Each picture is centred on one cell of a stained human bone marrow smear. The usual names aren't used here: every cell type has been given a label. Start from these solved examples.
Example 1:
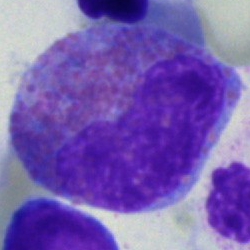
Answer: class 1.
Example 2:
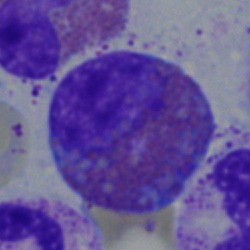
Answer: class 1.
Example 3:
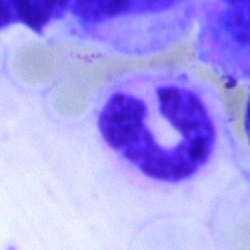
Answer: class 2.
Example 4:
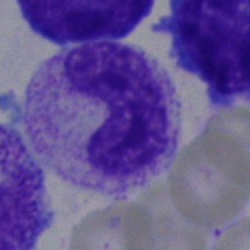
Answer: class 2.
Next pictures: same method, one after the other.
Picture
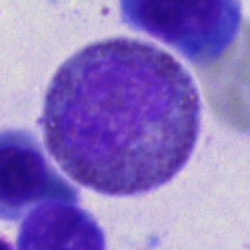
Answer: class 1.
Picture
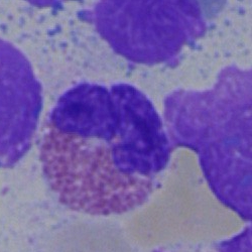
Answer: class 1.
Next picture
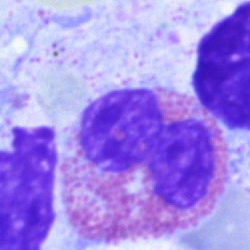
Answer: class 1.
